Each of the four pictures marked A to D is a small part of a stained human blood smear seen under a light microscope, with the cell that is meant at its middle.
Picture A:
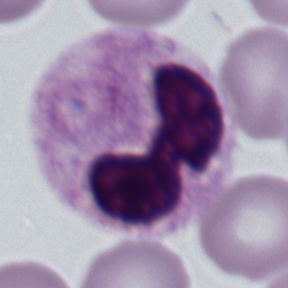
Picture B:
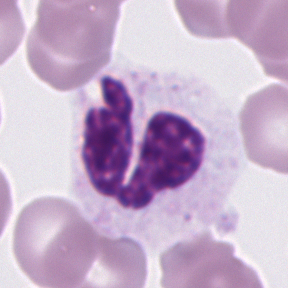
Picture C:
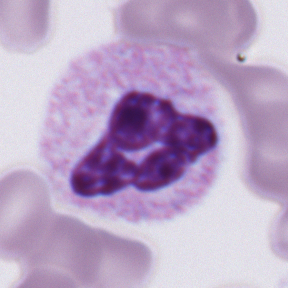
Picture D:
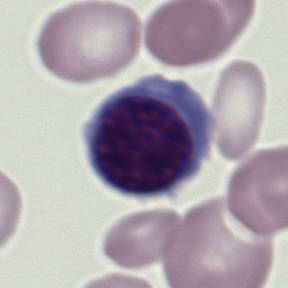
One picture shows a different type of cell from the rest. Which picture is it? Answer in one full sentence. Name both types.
Unlike the rest, which show segmented neutrophils, picture D shows a normoblast.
